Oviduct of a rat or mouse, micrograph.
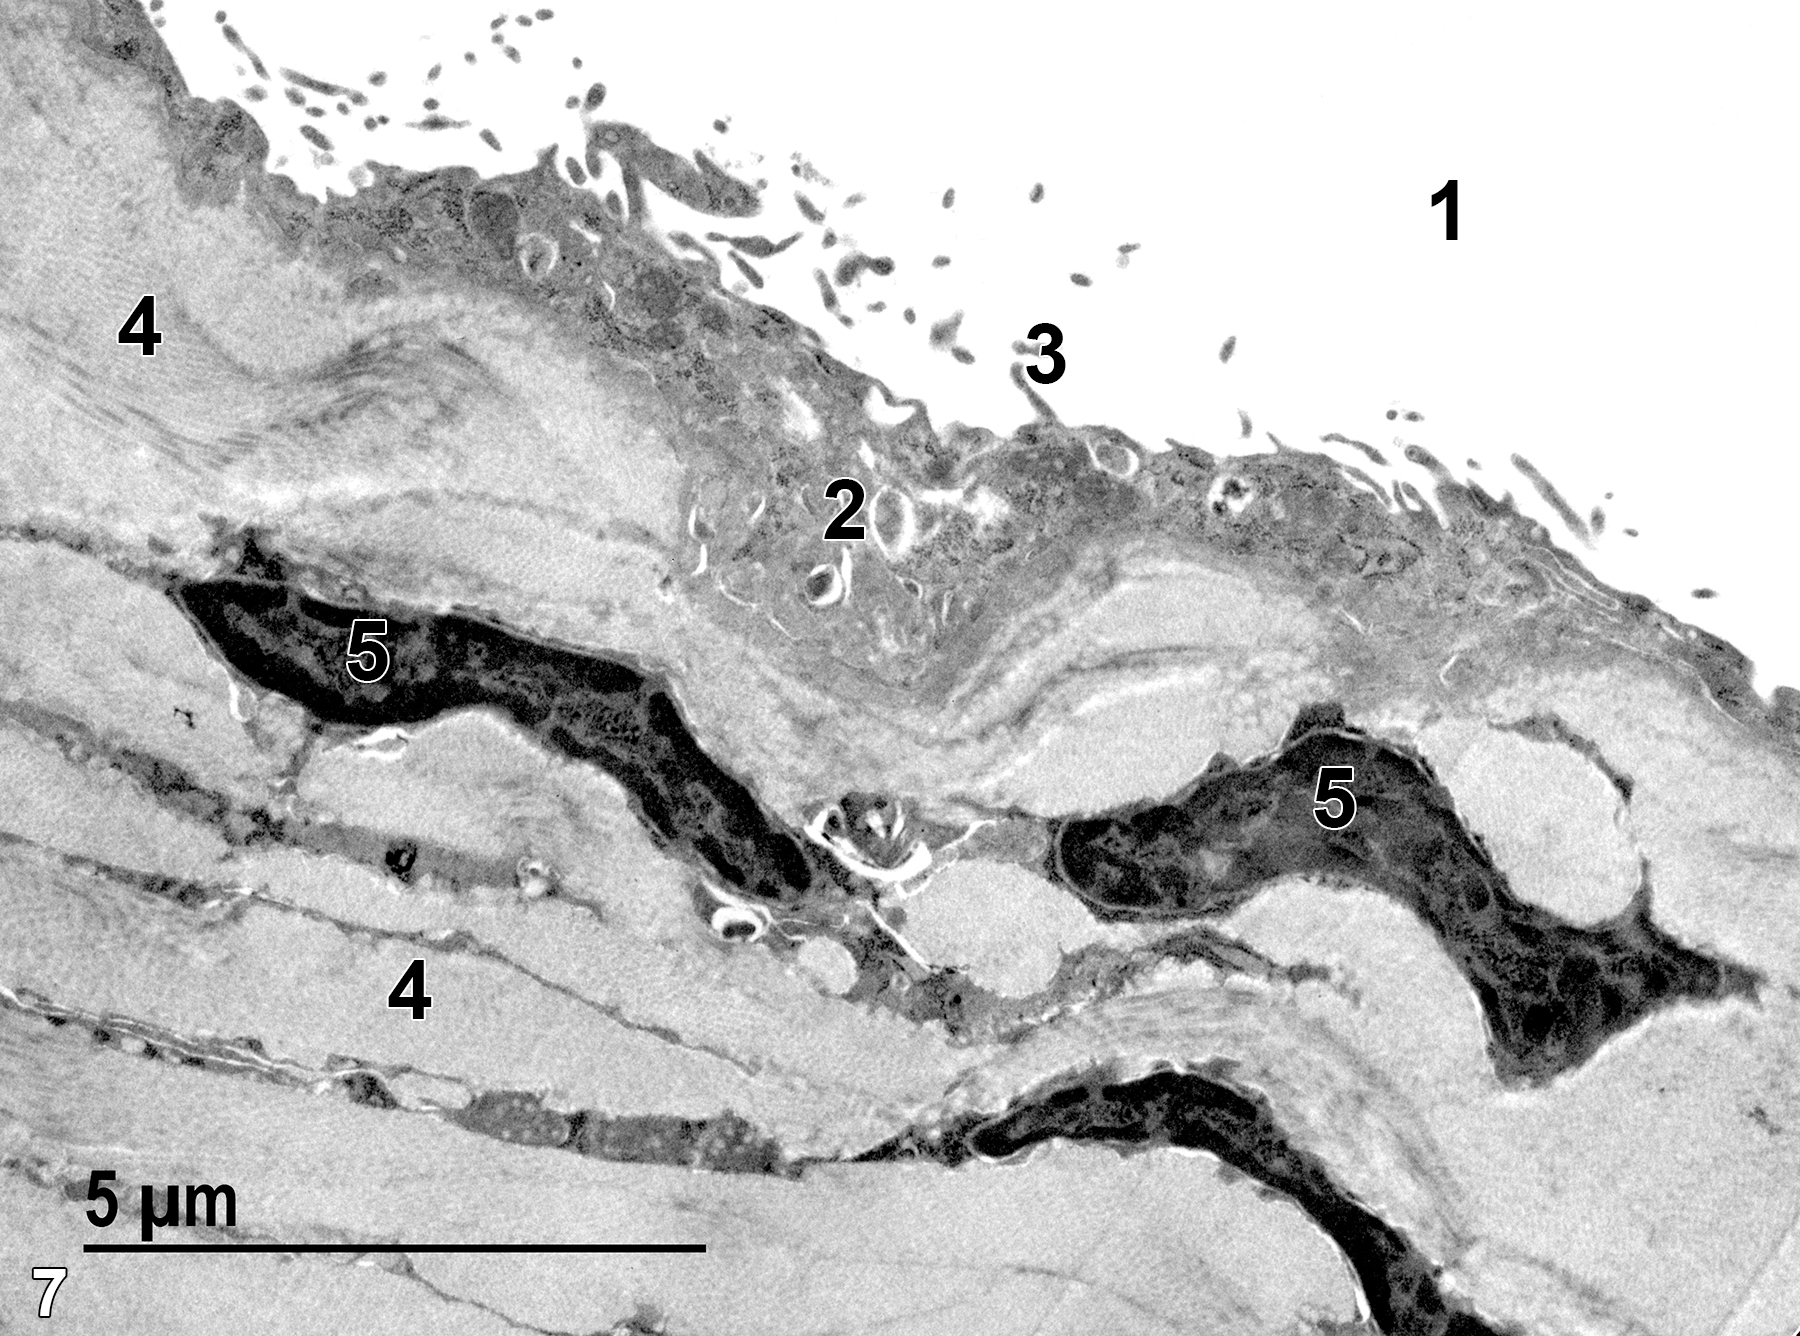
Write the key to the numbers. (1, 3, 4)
1. peritoneal cavity
3. short microvilli
4. bundles of collagen fibrils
